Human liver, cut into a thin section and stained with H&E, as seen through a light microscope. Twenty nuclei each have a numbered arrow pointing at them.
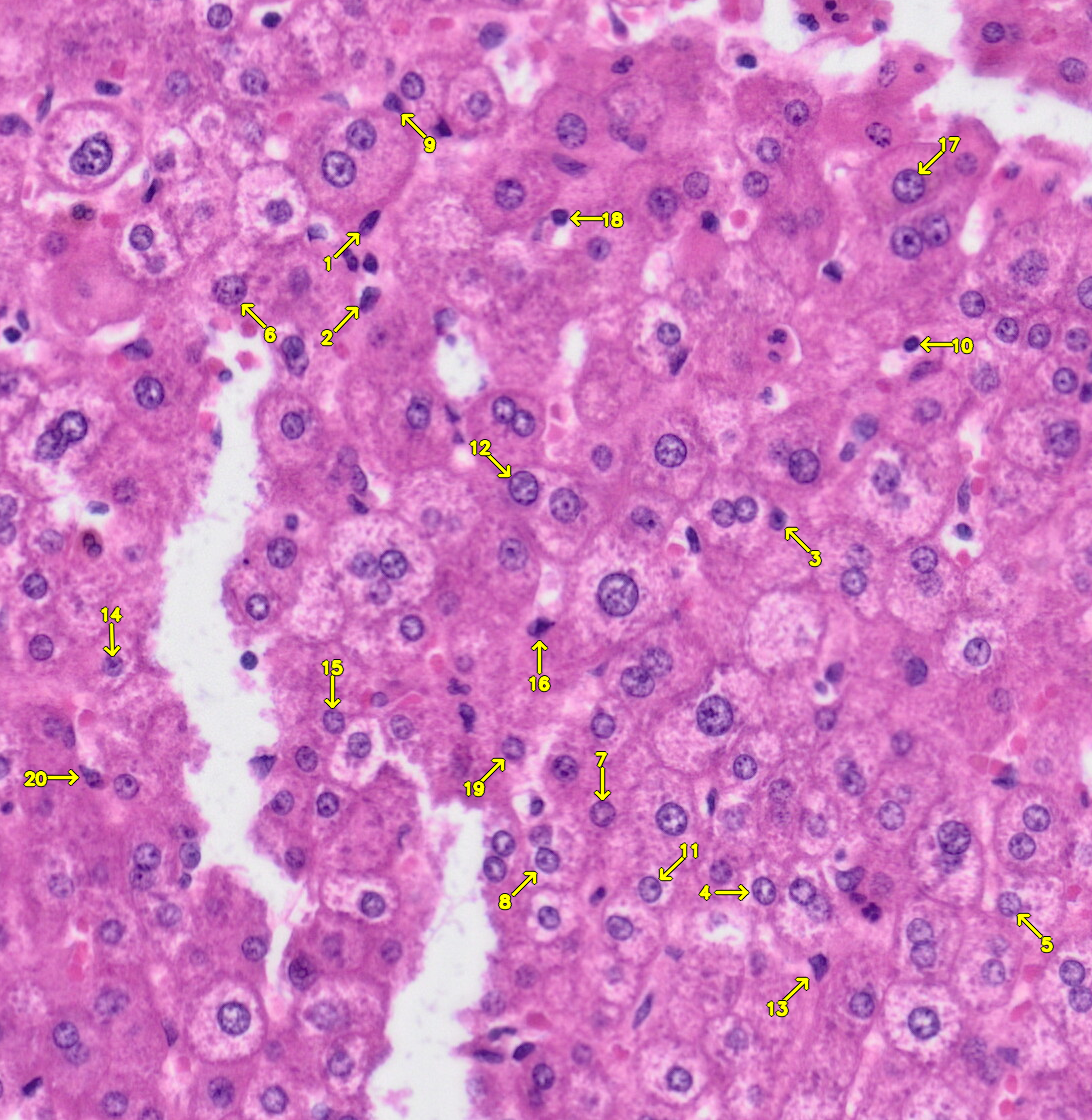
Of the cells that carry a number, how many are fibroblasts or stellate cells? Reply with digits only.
2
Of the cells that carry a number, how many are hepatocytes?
11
